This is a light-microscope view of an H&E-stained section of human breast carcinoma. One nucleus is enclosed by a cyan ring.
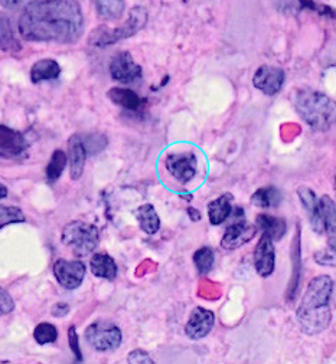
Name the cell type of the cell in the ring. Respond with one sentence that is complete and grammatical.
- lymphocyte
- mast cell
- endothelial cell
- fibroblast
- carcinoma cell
In this section, the cell in the ring is a lymphocyte.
